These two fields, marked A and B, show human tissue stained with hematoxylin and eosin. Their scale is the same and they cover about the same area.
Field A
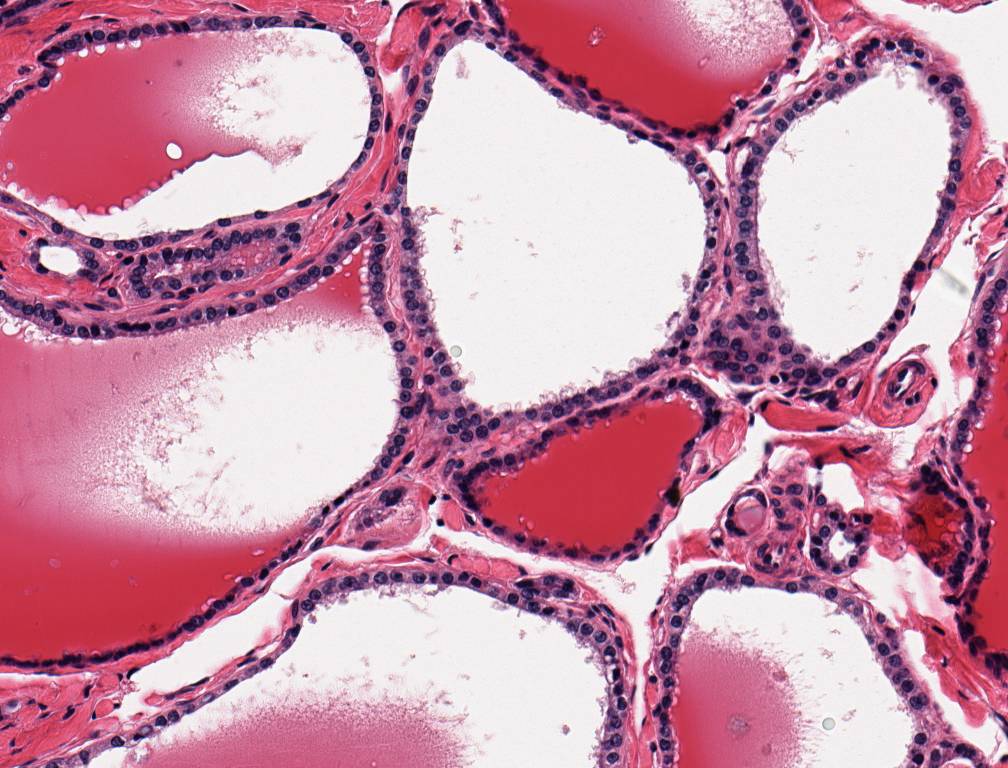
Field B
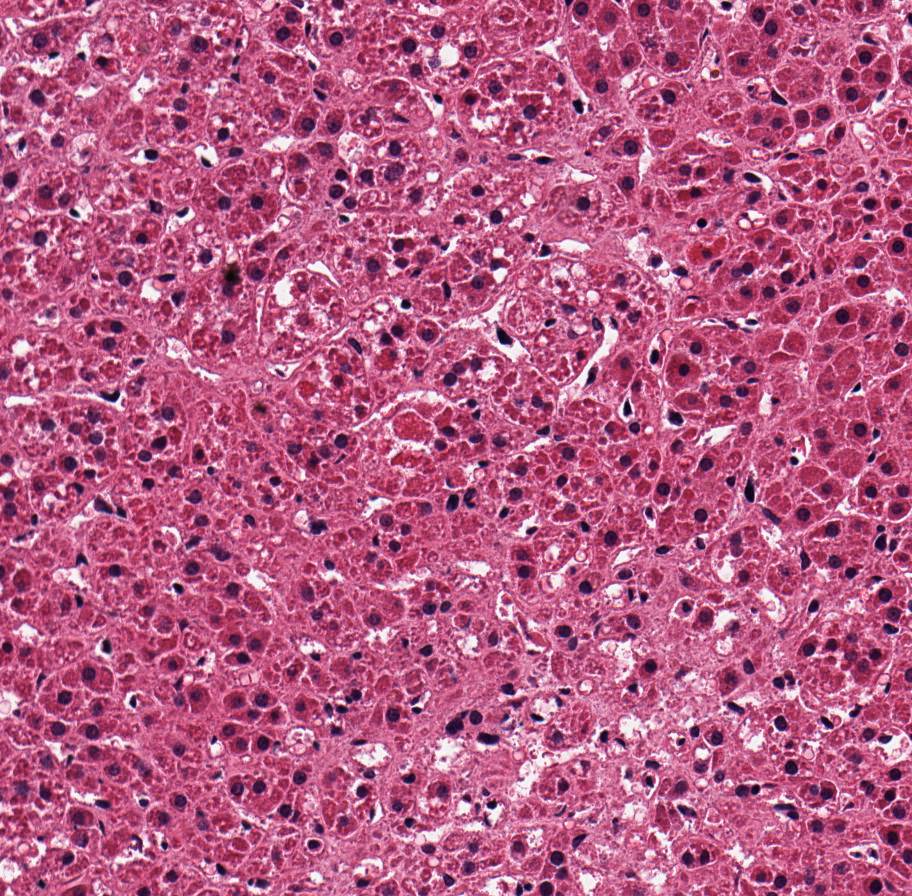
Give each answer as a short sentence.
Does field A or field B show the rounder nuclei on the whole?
It is field B whose nuclei are the rounder.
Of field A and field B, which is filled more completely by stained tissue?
It is field B that stained tissue fills more completely.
